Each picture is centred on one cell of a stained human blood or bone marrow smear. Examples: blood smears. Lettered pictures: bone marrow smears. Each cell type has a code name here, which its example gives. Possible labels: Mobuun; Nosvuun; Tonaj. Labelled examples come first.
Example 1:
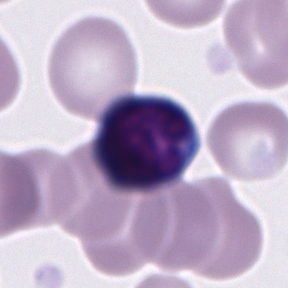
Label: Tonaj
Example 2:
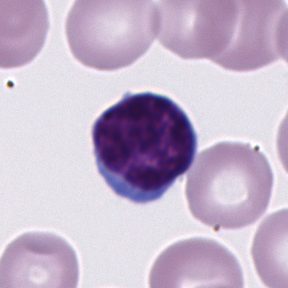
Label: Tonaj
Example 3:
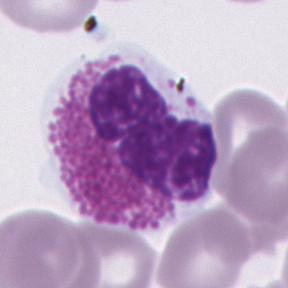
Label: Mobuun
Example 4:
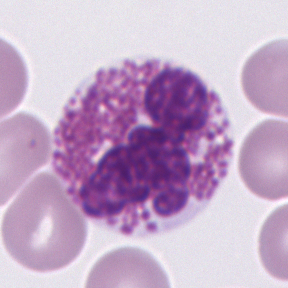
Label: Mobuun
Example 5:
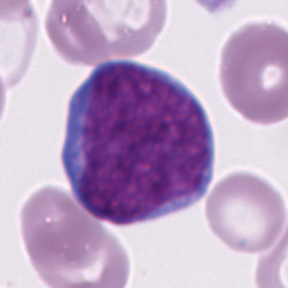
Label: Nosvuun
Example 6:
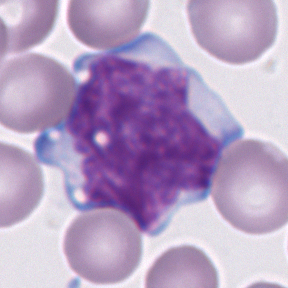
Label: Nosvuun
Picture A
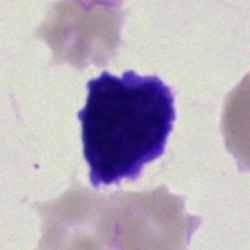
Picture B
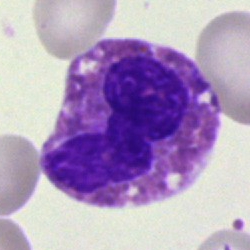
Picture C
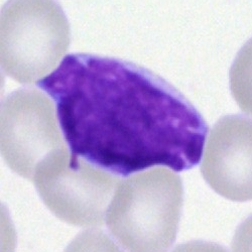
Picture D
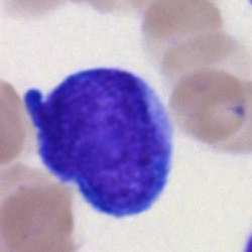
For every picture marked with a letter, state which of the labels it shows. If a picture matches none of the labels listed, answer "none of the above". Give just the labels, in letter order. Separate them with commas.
Nosvuun, Mobuun, Nosvuun, Nosvuun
